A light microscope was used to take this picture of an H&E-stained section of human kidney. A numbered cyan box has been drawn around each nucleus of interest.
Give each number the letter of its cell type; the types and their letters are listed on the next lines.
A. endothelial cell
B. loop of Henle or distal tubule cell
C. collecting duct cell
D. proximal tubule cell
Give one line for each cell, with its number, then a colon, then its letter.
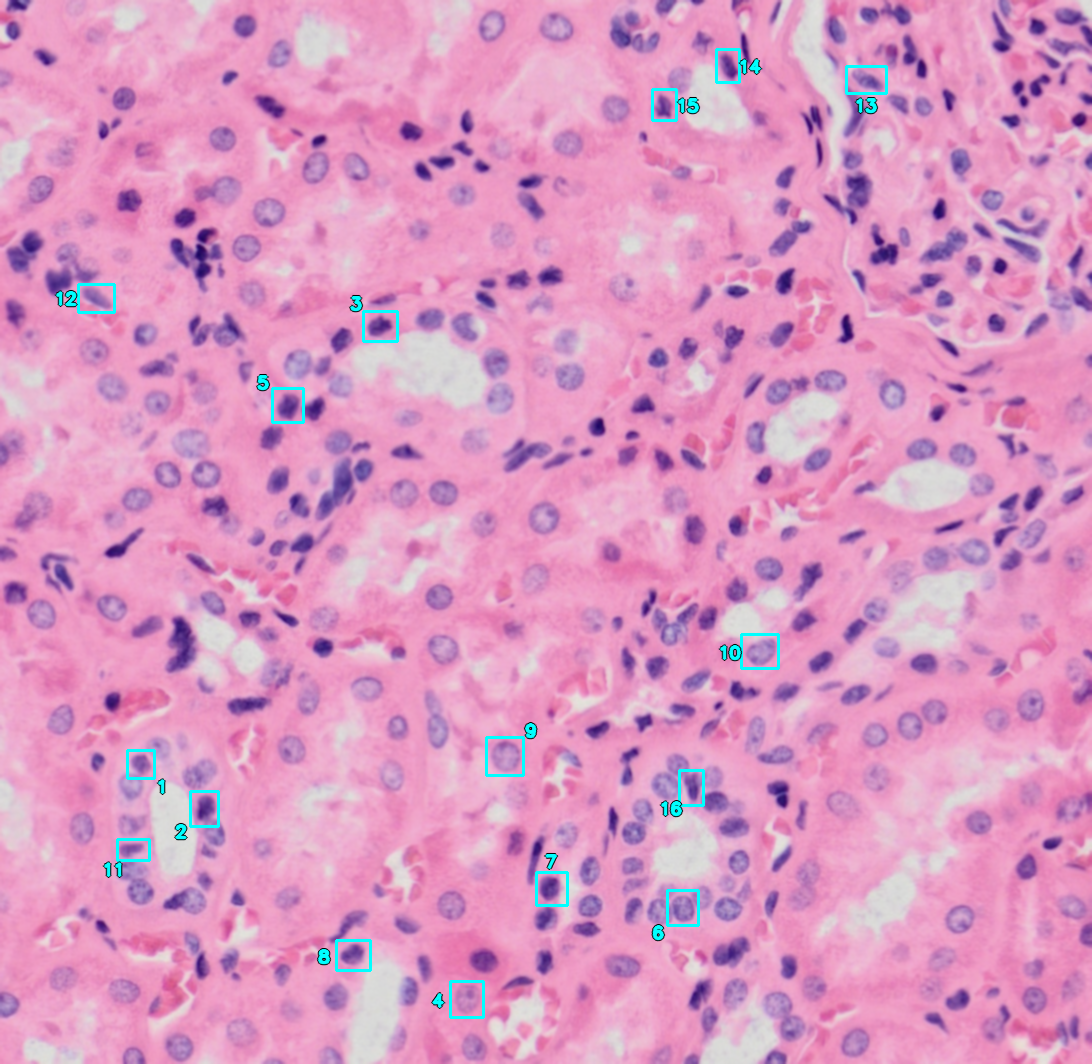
1: C
2: C
3: B
4: D
5: B
6: C
7: B
8: B
9: D
10: B
11: C
12: A
13: A
14: B
15: B
16: C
